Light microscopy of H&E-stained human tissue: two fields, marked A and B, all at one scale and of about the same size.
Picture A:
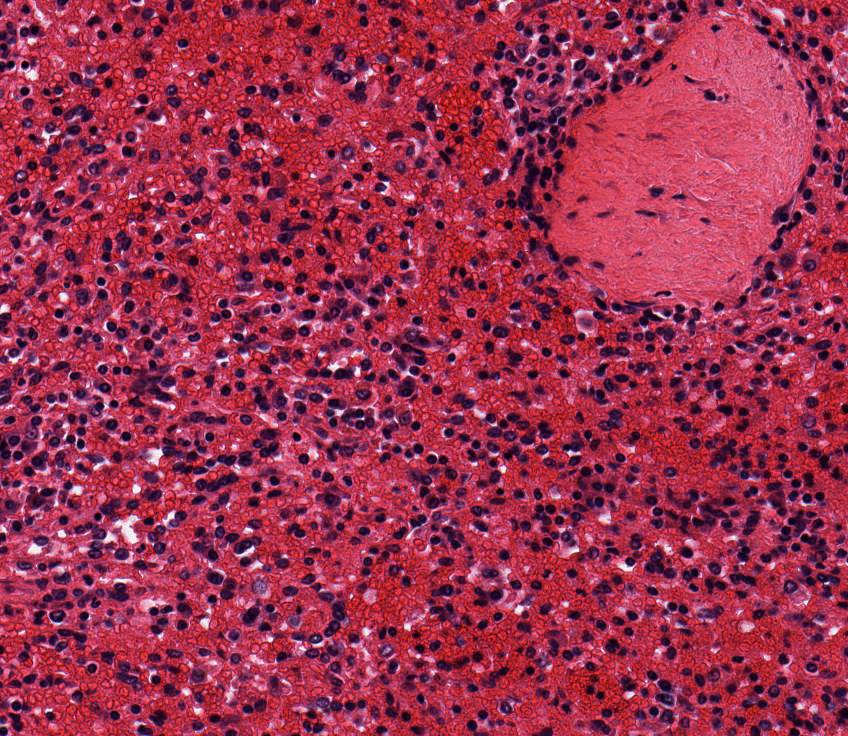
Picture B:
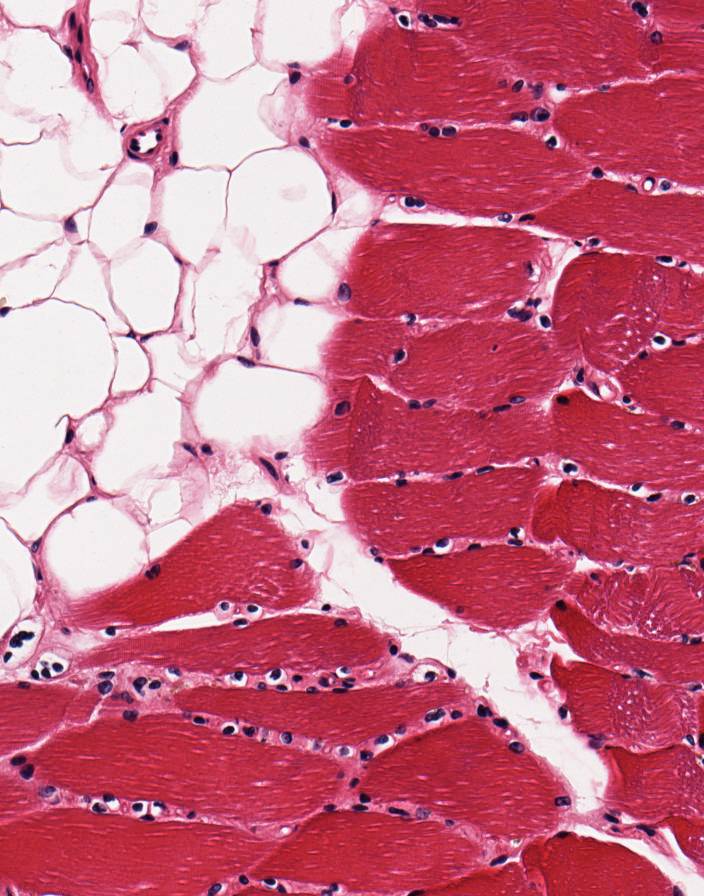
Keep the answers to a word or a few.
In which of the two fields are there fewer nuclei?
B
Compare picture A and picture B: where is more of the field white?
B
